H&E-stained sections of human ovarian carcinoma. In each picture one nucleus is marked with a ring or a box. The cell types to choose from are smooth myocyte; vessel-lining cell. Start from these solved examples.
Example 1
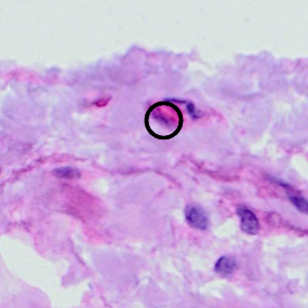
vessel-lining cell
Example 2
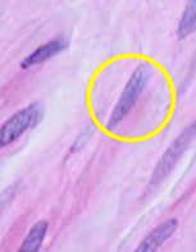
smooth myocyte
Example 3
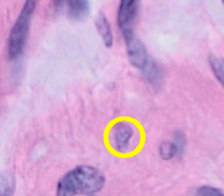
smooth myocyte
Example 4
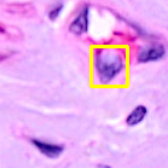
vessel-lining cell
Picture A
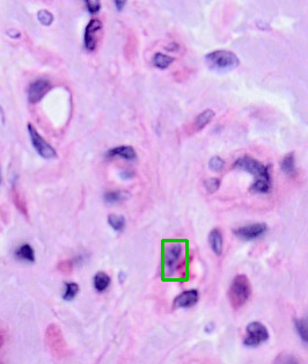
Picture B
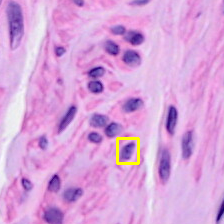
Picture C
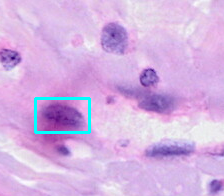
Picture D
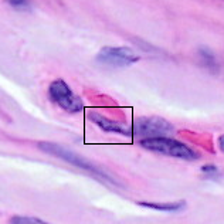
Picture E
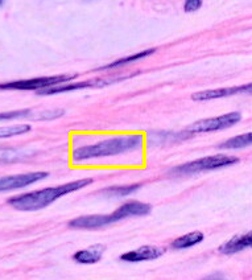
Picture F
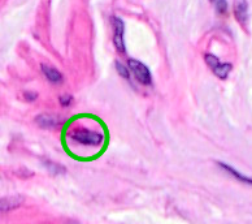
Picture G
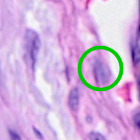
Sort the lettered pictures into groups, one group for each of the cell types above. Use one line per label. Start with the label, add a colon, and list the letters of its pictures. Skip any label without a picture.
smooth myocyte: B, E
vessel-lining cell: A, C, D, F, G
